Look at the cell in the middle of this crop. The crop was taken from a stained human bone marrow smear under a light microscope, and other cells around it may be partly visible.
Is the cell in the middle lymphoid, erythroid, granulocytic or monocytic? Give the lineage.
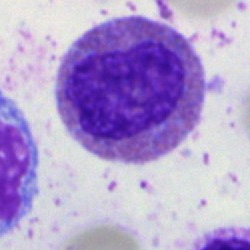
granulocytic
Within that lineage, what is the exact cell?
eosinophil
